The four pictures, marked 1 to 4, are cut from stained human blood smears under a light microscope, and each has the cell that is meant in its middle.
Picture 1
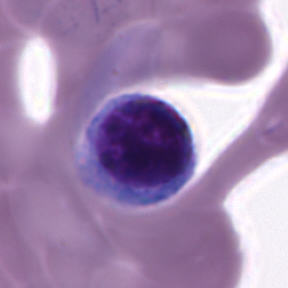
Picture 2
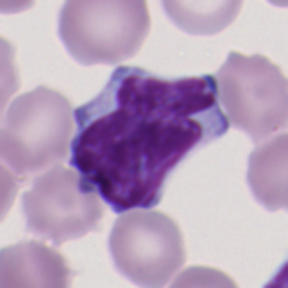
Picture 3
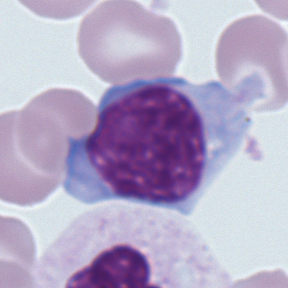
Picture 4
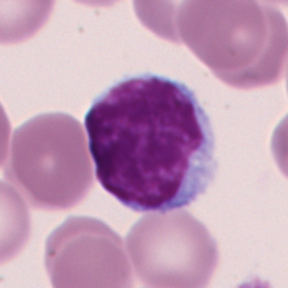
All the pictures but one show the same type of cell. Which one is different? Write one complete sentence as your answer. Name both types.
The different one is picture 1; it shows a plasma cell, whereas all the others show typical lymphocytes.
